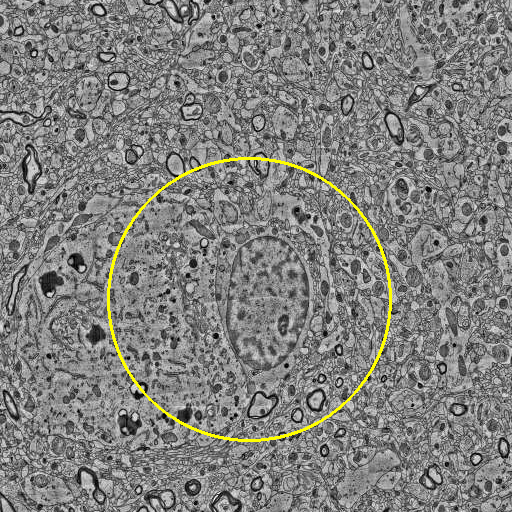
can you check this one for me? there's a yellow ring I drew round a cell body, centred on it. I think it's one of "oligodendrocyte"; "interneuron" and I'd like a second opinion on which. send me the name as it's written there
oligodendrocyte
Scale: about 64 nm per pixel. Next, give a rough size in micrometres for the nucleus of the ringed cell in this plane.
In this plane, about 8 by 5 micrometres: the nucleus is clearly longer than it is wide.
